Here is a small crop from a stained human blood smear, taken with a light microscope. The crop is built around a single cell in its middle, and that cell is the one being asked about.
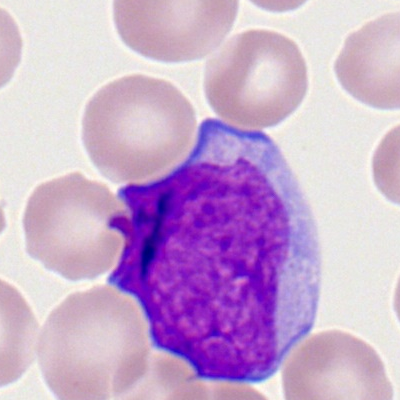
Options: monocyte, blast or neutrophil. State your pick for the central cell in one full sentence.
The central cell, amid any neighbouring cells, is a blast.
